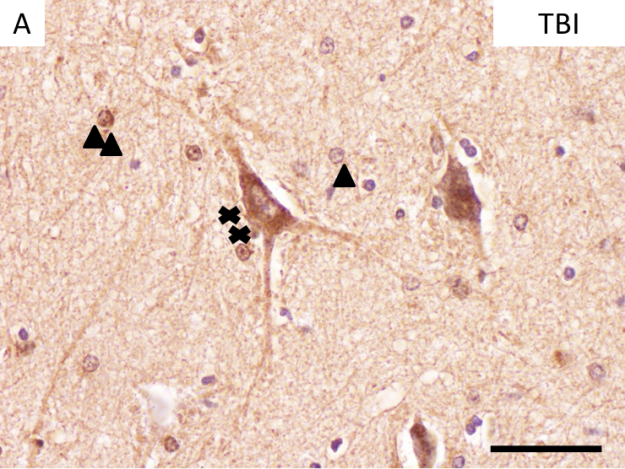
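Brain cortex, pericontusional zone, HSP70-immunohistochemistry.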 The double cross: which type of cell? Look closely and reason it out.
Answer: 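Neurons. Large triangular cell body with a long process extending from its apex. Cytoplasm stained brown.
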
